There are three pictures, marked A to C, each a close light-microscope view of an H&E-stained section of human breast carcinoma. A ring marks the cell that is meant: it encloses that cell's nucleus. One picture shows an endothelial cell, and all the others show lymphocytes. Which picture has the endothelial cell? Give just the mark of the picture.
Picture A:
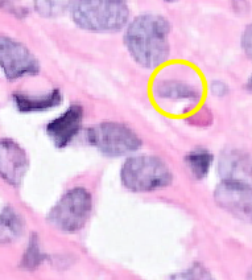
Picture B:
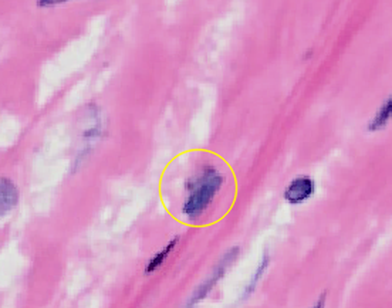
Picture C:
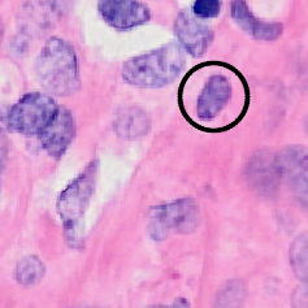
A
